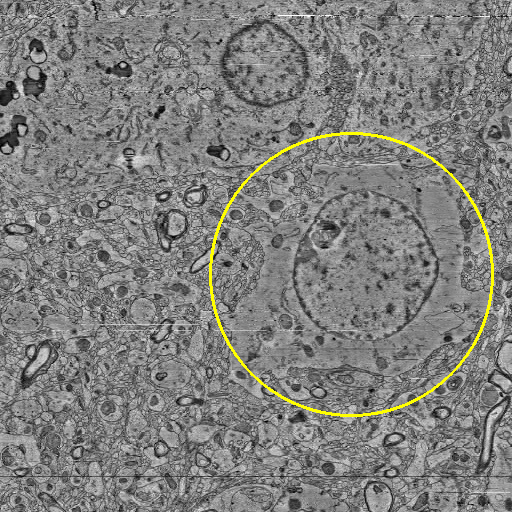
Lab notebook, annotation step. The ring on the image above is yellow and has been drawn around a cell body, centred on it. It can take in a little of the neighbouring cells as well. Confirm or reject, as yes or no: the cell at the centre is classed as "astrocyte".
Yes, confirmed for that class.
